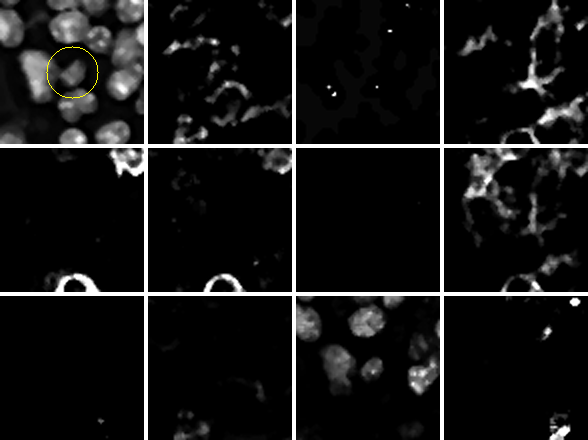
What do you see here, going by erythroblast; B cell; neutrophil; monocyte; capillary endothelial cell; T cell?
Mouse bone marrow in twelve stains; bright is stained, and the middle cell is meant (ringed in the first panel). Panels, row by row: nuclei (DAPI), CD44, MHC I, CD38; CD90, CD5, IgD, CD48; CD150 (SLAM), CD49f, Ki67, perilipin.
I see an erythroblast.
